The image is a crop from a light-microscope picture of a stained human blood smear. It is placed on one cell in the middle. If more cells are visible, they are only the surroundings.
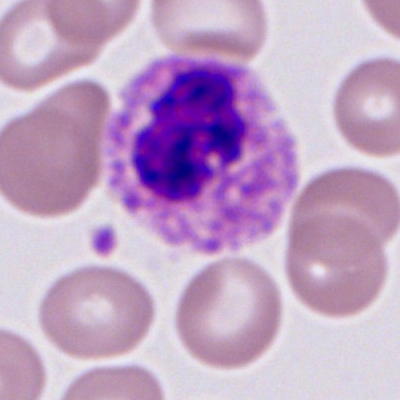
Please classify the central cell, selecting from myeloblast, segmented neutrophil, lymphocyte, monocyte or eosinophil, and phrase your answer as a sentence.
This particular crop is centered on a segmented neutrophil.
